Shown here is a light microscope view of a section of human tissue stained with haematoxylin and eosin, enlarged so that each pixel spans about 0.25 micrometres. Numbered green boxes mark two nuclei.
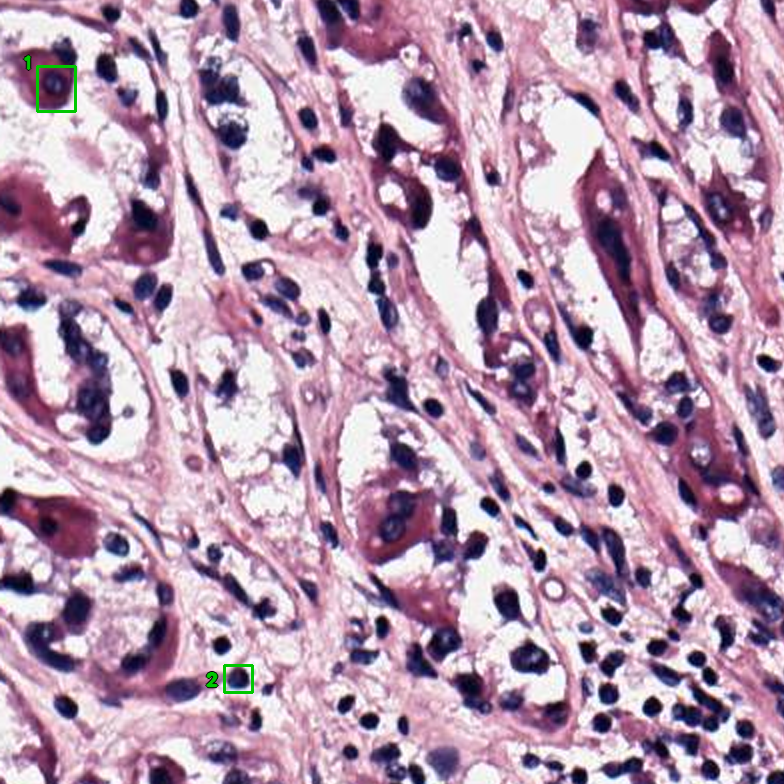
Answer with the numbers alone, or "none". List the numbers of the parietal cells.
1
